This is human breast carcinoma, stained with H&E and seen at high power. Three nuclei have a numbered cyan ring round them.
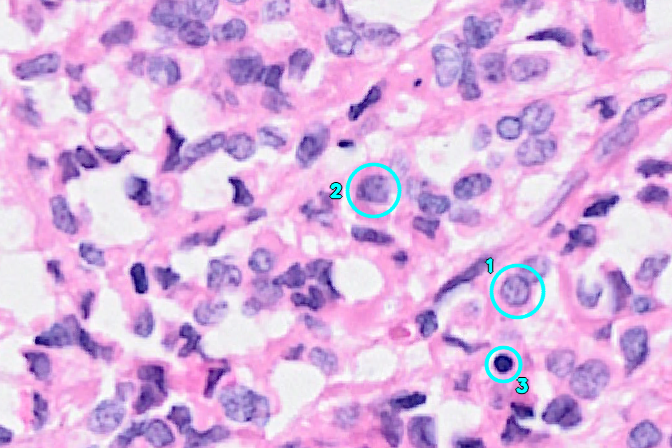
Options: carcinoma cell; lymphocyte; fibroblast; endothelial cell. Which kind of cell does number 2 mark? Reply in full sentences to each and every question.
The nucleus with number 2 is that of a carcinoma cell.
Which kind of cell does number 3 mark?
The numeral 3 marks a lymphocyte in this section.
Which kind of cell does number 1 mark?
The cell identified by number 1 is a carcinoma cell.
